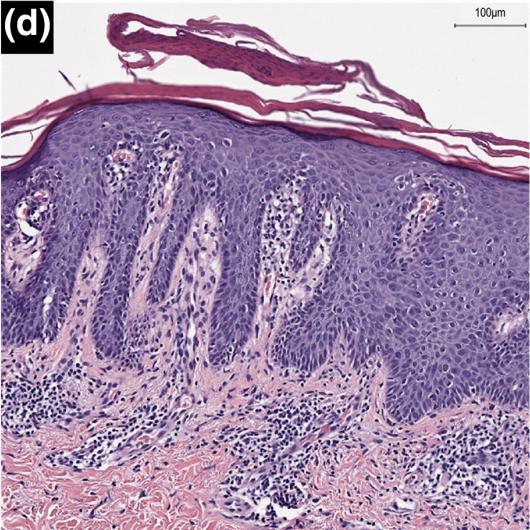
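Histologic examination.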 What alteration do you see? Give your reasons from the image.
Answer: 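The epidermis is markedly thickened.
Hence: psoriasiform acanthosis.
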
